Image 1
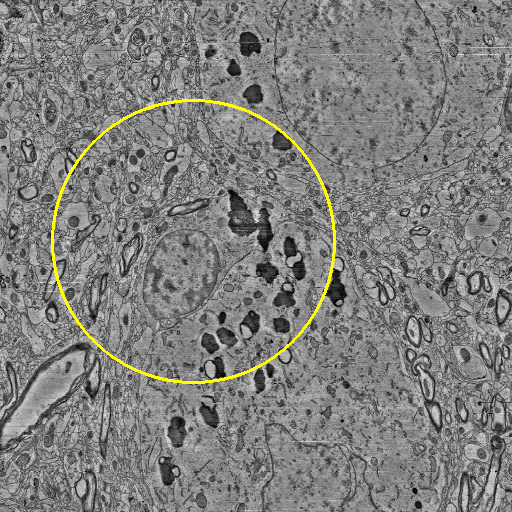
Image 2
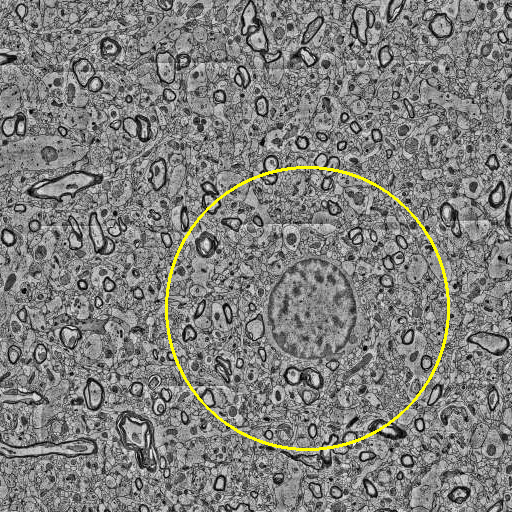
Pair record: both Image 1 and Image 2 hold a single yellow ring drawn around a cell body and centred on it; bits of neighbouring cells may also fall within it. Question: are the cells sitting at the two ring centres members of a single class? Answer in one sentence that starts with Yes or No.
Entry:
Yes, both ring-centre cells in Image 1 and Image 2 are members of one class.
